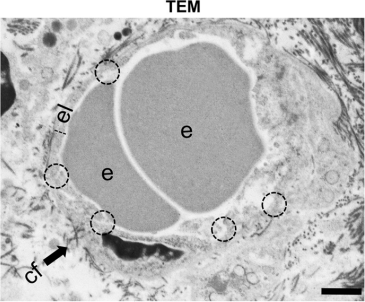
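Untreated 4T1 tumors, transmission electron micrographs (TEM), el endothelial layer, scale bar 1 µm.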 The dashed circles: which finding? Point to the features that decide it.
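Dashed circles sit on the thin lining around the vessel lumen.
Conclusion: interruptions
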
